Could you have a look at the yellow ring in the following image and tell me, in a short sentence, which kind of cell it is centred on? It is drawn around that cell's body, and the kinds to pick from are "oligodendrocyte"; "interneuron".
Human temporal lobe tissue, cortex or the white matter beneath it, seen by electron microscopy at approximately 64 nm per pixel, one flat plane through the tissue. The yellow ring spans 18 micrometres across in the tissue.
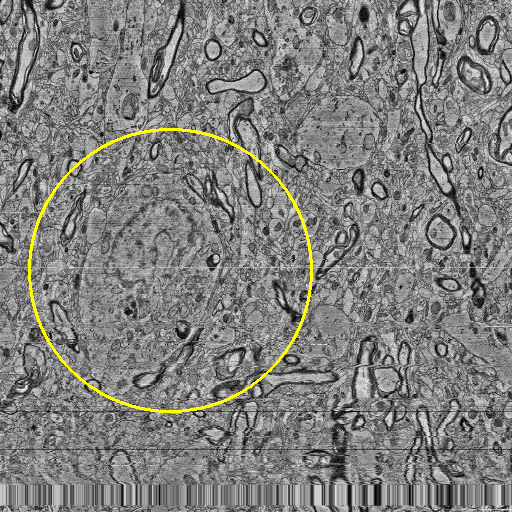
The ring is centred on the body of an interneuron.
